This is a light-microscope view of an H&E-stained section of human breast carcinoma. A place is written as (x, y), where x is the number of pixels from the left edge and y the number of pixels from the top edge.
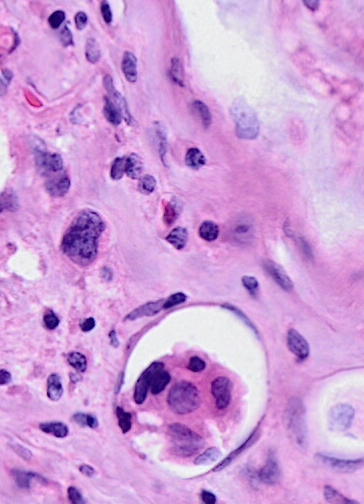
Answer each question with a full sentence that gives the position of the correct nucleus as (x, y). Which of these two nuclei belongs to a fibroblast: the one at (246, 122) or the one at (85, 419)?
The pair contains one nucleus of a fibroblast, namely the one at (246, 122).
